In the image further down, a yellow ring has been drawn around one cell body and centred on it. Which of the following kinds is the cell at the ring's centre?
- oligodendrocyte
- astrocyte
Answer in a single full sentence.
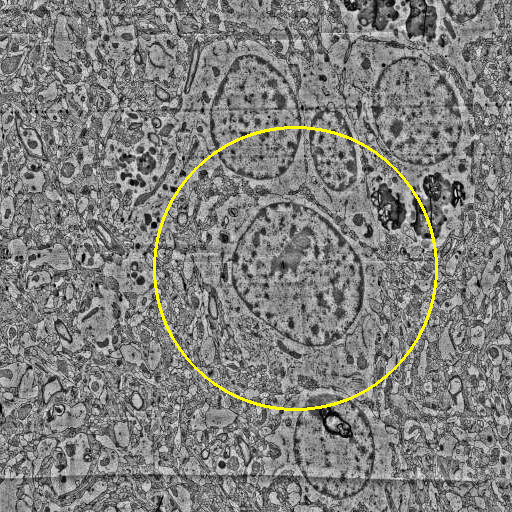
In the picture, the cell sitting at the centre of the yellow ring is an astrocyte.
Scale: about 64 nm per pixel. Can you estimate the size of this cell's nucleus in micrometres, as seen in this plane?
Roughly 10 by 8 micrometres is the size of the nucleus in this plane.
